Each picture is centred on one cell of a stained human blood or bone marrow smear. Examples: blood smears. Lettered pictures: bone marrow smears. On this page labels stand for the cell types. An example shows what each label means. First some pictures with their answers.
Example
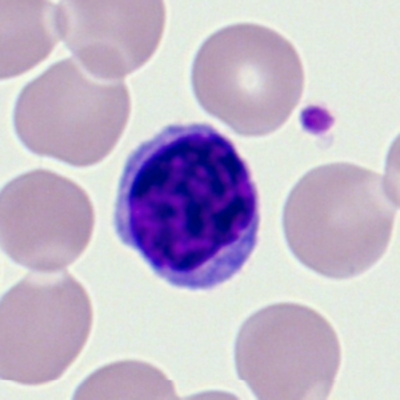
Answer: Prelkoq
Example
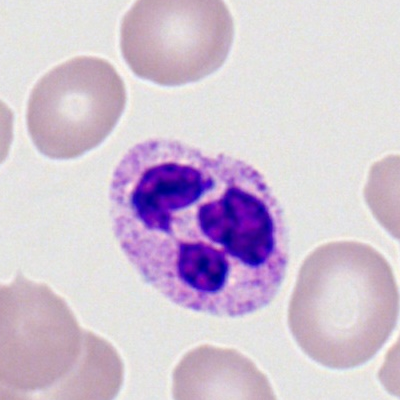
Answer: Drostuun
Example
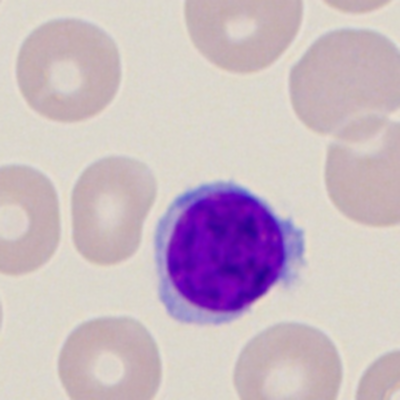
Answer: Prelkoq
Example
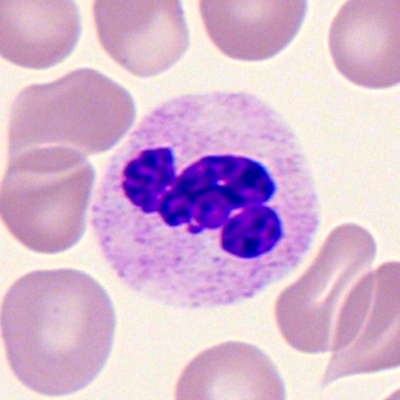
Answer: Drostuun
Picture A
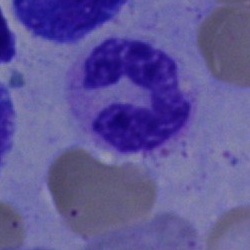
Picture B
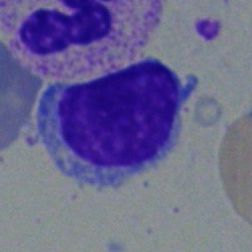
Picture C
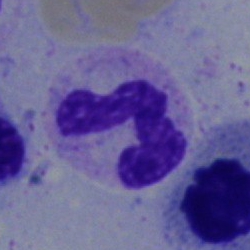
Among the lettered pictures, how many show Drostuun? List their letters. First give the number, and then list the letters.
2, namely A, C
